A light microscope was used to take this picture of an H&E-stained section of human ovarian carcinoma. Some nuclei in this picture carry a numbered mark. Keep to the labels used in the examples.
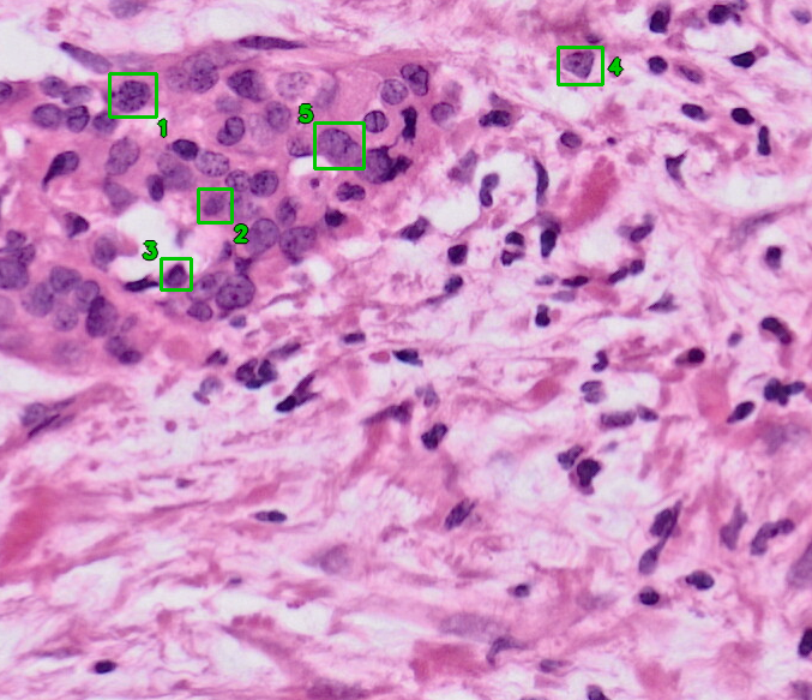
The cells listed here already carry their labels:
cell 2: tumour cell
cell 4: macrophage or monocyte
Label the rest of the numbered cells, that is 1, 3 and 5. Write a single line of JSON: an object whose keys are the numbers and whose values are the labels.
{"1": "tumour cell", "3": "macrophage or monocyte", "5": "tumour cell"}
